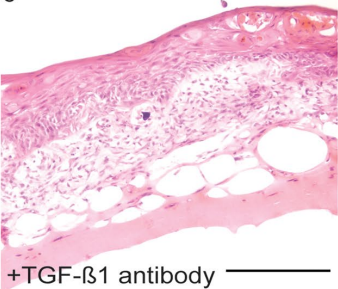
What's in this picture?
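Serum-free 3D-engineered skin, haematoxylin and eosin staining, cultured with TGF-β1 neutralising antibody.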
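Along the top lies a stratified epidermis: several layers of keratinocytes with purple nuclei, the lowest layers more crowded, the upper ones flatter and more pink, with a thin eosinophilic surface. Beneath it the dermis forms a looser, pale pink compartment in which scattered elongated nuclei of fibroblast-like cells sit in the matrix. Deeper down, the tissue is riddled with round and oval clear spaces of varying size, separated by thin pink strands, and the bottom edge is a denser pink band with few nuclei.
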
